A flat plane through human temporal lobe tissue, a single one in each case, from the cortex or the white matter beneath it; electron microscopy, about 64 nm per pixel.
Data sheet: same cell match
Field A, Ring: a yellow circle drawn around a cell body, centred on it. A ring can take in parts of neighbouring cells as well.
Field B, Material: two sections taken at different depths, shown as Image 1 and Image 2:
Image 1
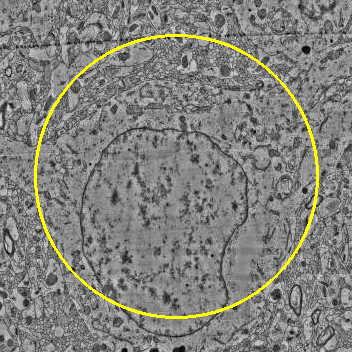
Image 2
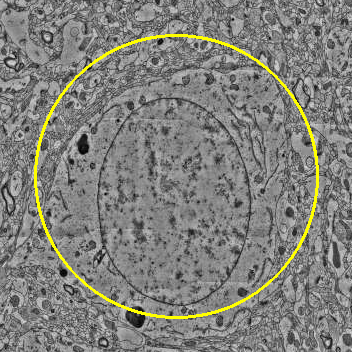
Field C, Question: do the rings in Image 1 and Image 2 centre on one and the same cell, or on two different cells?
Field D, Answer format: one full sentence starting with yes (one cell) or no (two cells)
No, the rings mark separate cells, one per ring.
